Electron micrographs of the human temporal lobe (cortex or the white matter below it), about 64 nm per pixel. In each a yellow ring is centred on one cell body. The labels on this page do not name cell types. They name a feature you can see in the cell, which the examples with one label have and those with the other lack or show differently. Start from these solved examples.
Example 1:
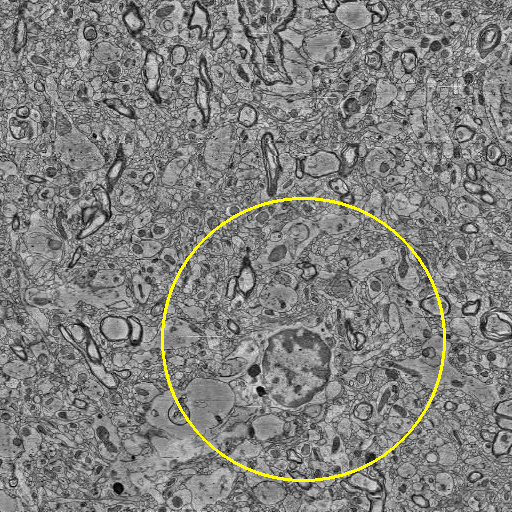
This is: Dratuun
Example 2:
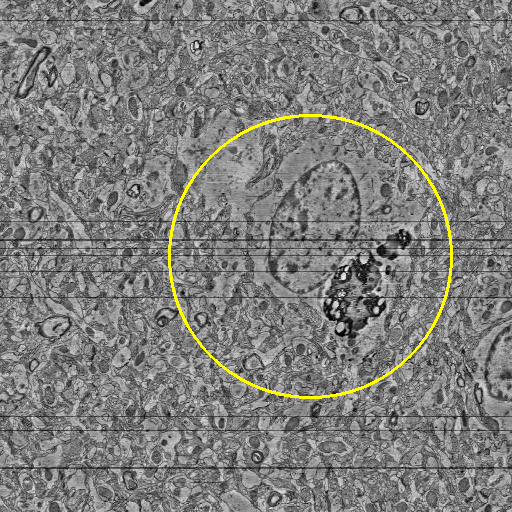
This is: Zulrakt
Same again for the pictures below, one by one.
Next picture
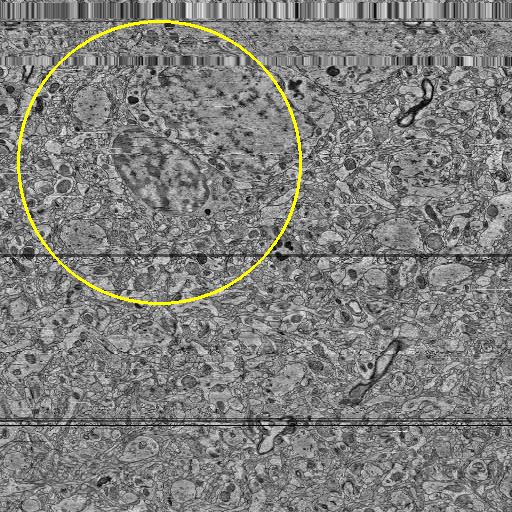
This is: Zulrakt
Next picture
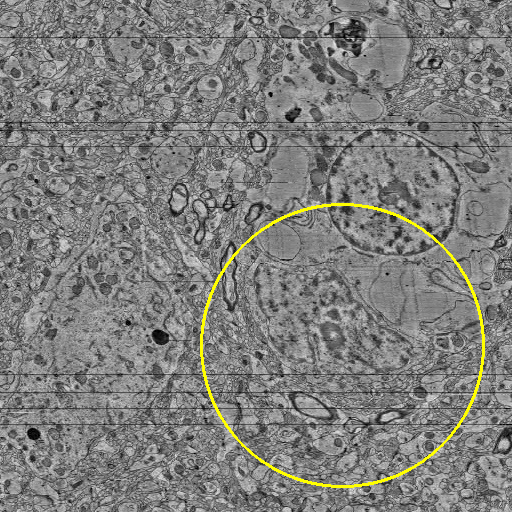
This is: Zulrakt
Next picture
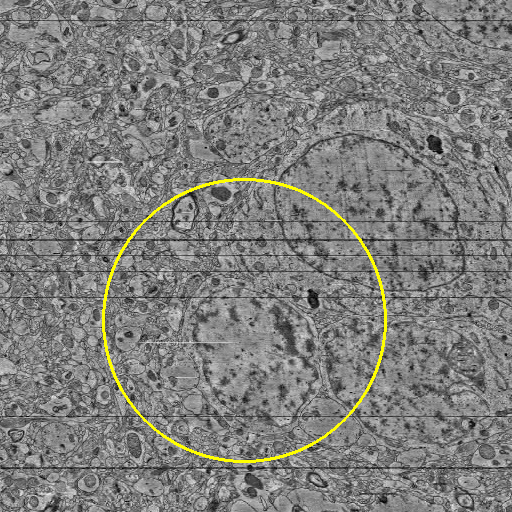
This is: Dratuun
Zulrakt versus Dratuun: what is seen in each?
Zulrakt, clearly elongated nuclei; Dratuun, round or nearly round nuclei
